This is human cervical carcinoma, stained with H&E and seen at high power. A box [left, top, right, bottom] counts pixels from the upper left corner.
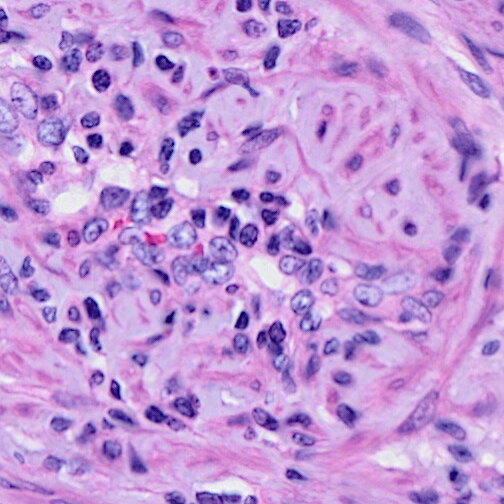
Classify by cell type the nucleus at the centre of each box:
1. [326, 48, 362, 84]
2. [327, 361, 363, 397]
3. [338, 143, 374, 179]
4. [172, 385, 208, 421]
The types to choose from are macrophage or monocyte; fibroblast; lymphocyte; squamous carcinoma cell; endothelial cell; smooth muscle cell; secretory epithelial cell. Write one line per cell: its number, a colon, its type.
1: smooth muscle cell
2: smooth muscle cell
3: smooth muscle cell
4: lymphocyte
